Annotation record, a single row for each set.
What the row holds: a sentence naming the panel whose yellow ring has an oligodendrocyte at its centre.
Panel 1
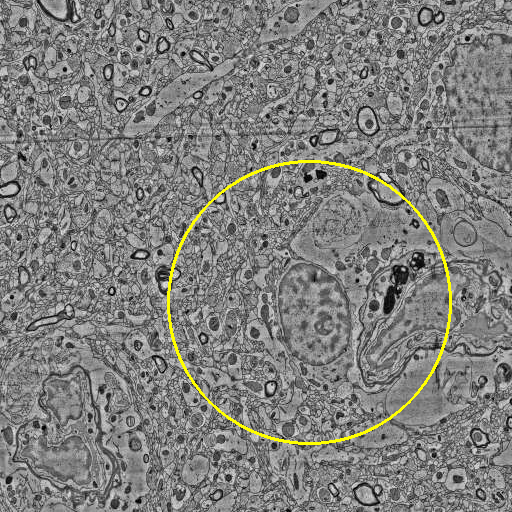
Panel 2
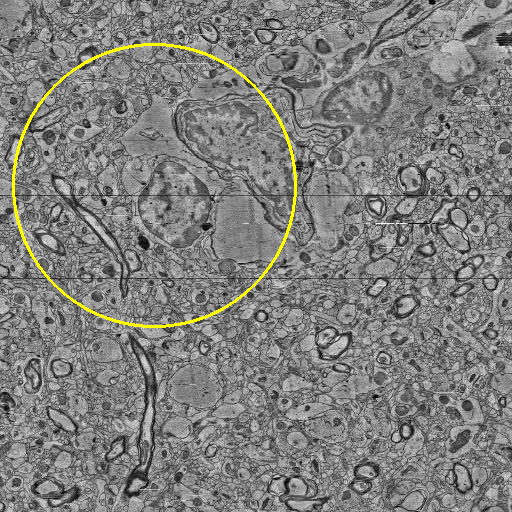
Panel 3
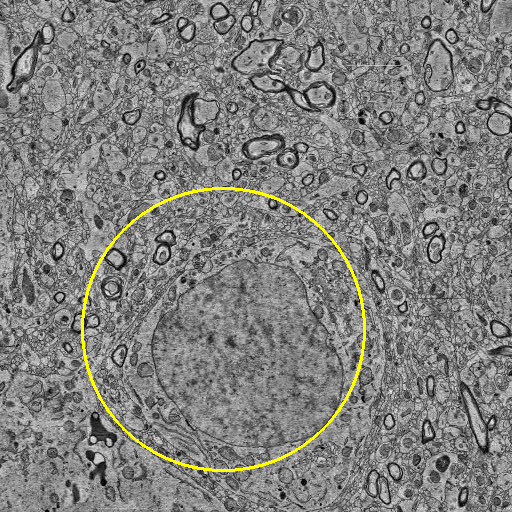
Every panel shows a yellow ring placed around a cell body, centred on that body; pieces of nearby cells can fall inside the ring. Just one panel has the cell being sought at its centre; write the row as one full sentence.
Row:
In panel 1, the cell at the middle of the yellow ring is the one sought.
